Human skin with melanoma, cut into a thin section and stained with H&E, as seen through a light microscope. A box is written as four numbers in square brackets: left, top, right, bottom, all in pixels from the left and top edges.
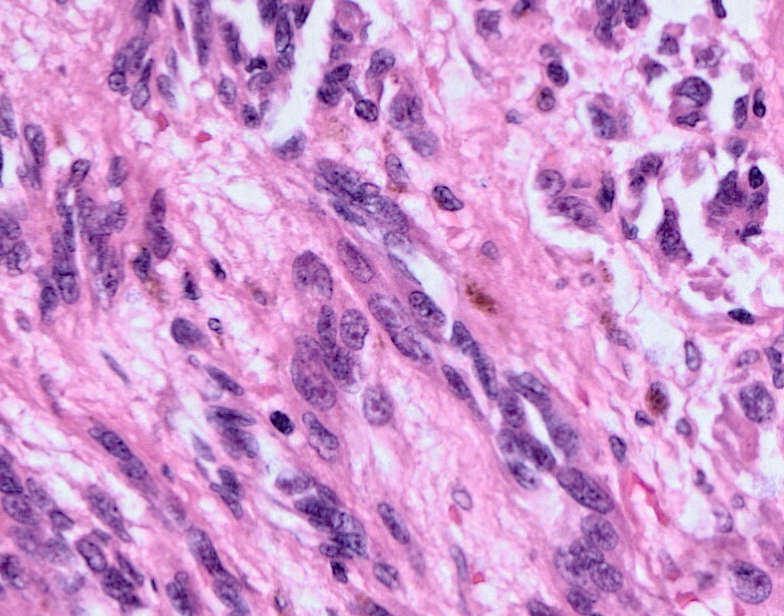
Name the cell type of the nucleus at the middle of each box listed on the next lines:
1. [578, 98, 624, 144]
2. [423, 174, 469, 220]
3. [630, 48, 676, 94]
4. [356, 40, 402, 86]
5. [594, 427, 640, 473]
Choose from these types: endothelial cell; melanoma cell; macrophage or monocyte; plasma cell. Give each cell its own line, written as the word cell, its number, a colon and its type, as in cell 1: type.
cell 1: melanoma cell
cell 2: macrophage or monocyte
cell 3: melanoma cell
cell 4: melanoma cell
cell 5: macrophage or monocyte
